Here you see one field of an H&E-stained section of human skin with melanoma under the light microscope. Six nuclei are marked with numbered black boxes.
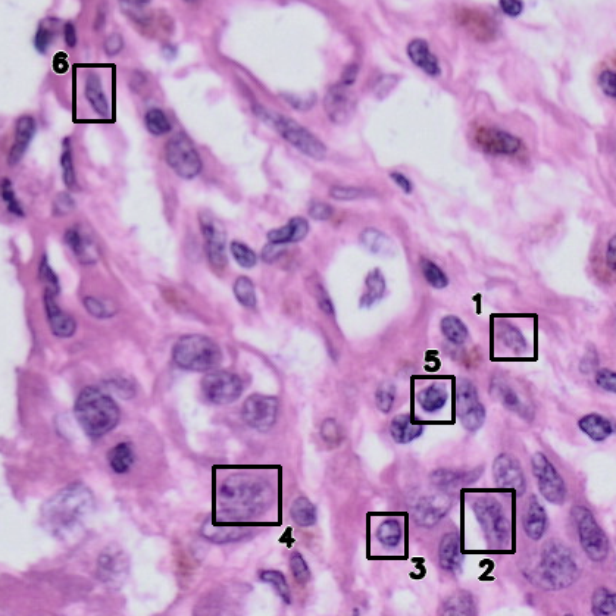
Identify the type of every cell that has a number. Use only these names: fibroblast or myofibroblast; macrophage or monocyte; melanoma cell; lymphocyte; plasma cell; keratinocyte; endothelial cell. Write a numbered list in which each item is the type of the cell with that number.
1. macrophage or monocyte
2. melanoma cell
3. lymphocyte
4. melanoma cell
5. lymphocyte
6. macrophage or monocyte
